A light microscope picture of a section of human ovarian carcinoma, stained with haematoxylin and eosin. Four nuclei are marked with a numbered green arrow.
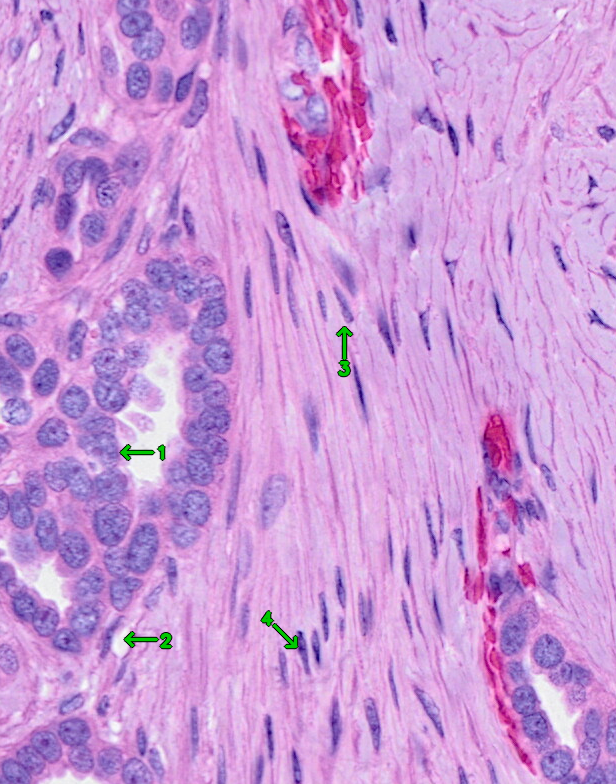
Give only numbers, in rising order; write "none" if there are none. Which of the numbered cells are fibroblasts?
2, 3, 4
